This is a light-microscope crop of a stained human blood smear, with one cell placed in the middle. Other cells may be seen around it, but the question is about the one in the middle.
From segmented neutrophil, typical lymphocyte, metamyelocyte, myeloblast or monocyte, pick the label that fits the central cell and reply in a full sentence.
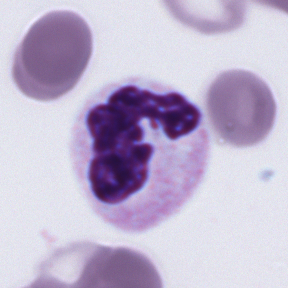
The cell at the heart of this crop is a segmented neutrophil.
